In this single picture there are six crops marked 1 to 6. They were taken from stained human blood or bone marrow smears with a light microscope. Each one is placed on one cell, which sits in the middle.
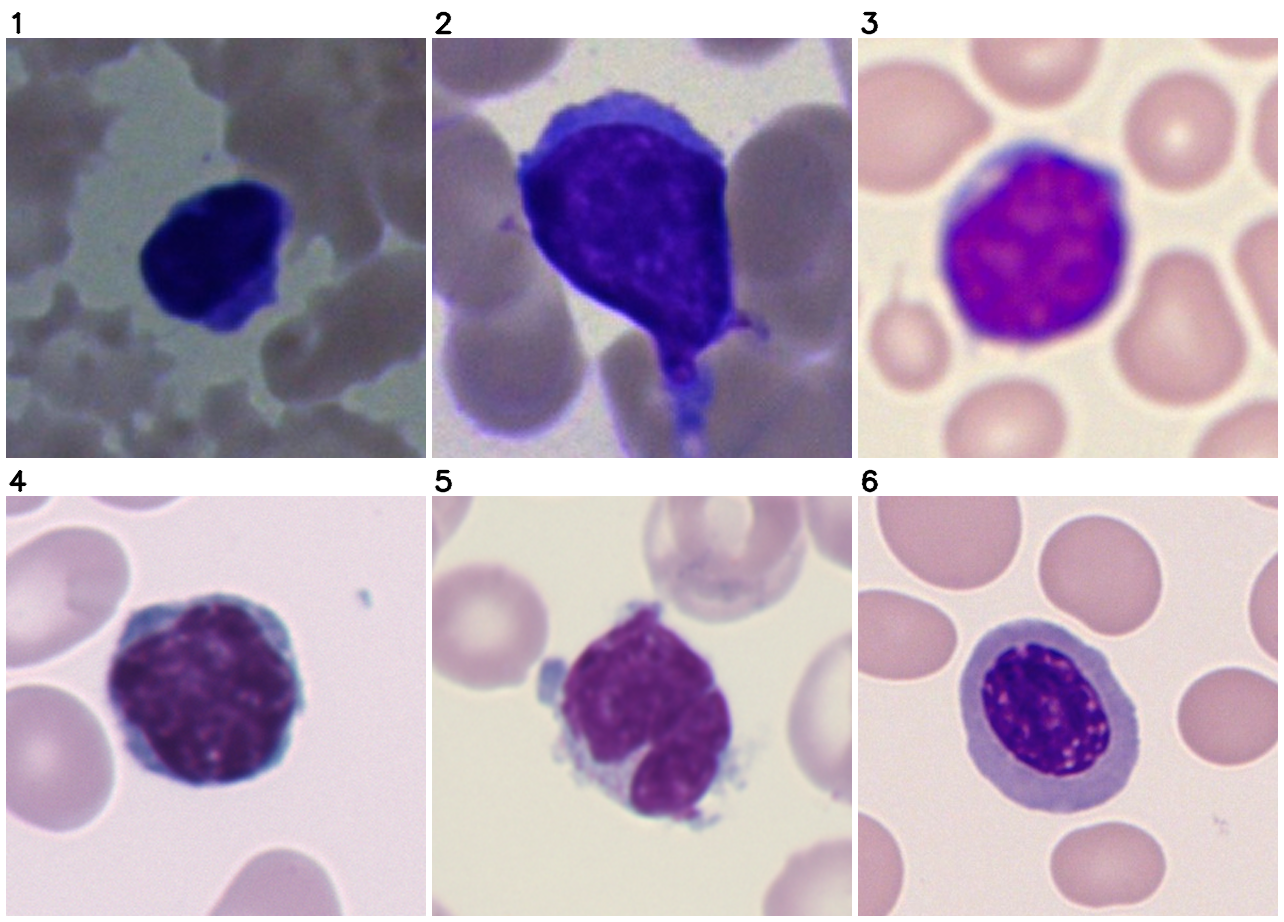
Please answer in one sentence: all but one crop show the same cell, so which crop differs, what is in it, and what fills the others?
Crop 6 alone is an erythroblast, and the other crops are all lymphocytes.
